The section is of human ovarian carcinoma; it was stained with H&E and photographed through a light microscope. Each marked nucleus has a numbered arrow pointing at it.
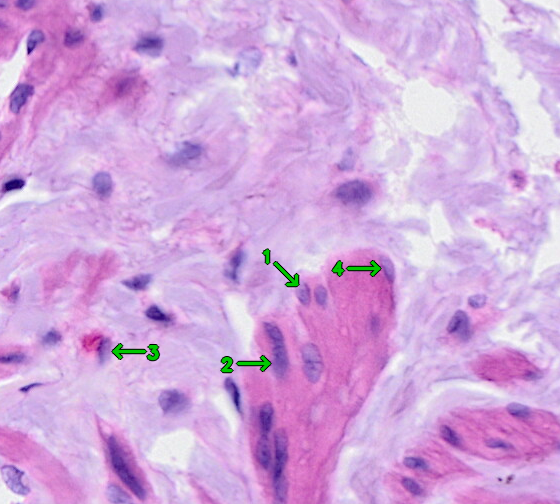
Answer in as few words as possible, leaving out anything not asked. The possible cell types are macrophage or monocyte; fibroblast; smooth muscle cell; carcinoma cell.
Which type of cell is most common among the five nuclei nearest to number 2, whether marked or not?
smooth muscle cell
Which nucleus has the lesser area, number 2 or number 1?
1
